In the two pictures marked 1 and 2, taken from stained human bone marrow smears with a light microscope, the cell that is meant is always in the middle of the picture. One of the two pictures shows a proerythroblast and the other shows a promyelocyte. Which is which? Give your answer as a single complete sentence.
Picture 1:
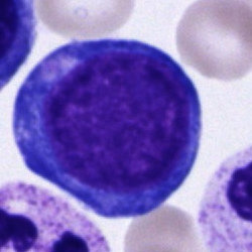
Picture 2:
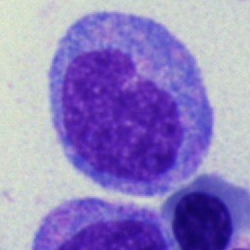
Picture 2 shows a promyelocyte, while picture 1 shows a proerythroblast.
